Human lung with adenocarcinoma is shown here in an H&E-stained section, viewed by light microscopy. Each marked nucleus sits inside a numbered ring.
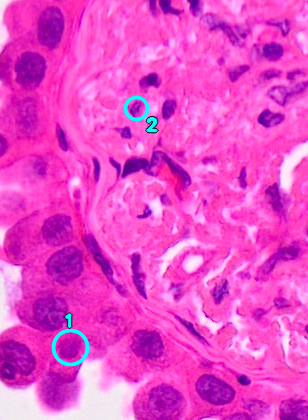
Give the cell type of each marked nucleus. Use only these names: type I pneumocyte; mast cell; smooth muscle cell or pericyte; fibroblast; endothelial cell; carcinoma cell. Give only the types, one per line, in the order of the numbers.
carcinoma cell
smooth muscle cell or pericyte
